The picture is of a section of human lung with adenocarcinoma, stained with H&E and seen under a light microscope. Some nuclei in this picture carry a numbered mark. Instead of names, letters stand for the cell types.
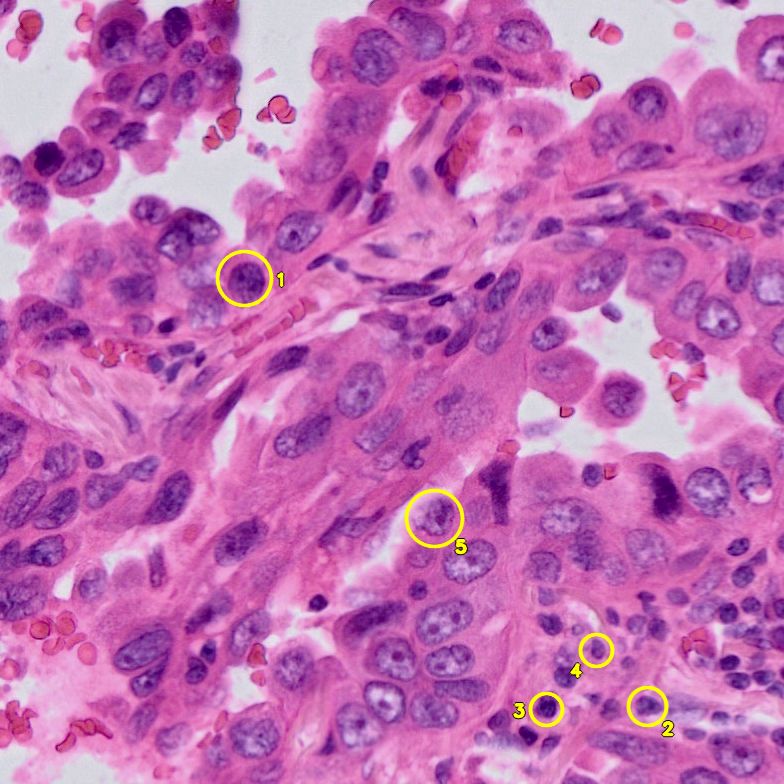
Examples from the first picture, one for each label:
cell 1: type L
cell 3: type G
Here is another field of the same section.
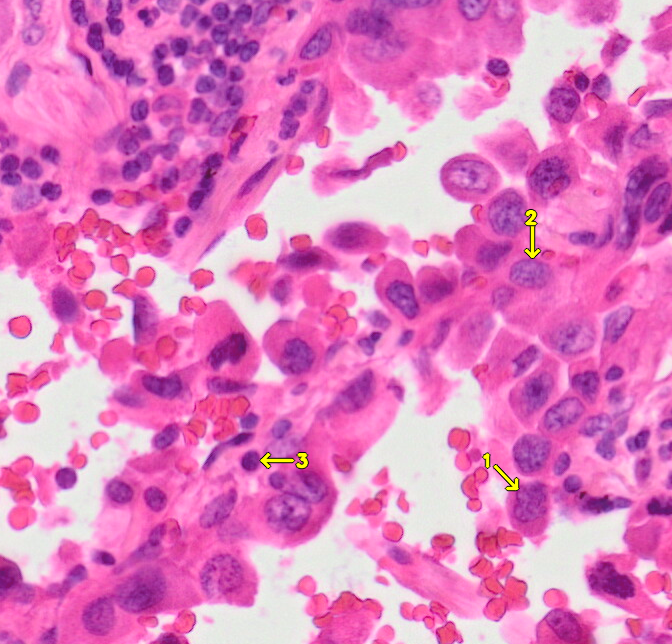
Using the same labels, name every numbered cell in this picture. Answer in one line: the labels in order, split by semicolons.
type L; type L; type G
